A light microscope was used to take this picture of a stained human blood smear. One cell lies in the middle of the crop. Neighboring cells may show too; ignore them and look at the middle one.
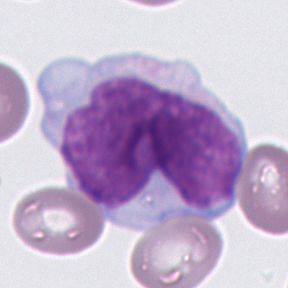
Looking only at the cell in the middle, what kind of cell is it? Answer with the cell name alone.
atypical promyelocyte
